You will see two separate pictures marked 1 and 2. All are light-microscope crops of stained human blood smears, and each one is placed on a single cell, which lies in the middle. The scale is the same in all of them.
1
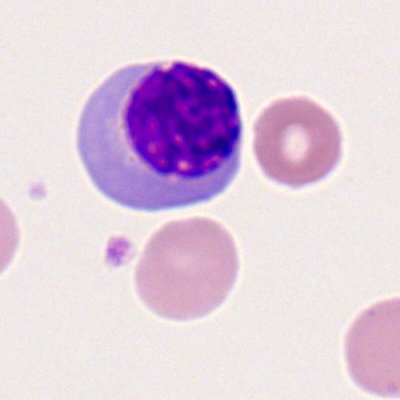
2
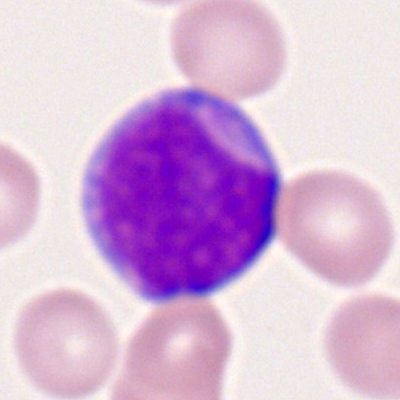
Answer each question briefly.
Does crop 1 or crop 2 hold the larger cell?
2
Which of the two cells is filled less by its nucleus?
1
